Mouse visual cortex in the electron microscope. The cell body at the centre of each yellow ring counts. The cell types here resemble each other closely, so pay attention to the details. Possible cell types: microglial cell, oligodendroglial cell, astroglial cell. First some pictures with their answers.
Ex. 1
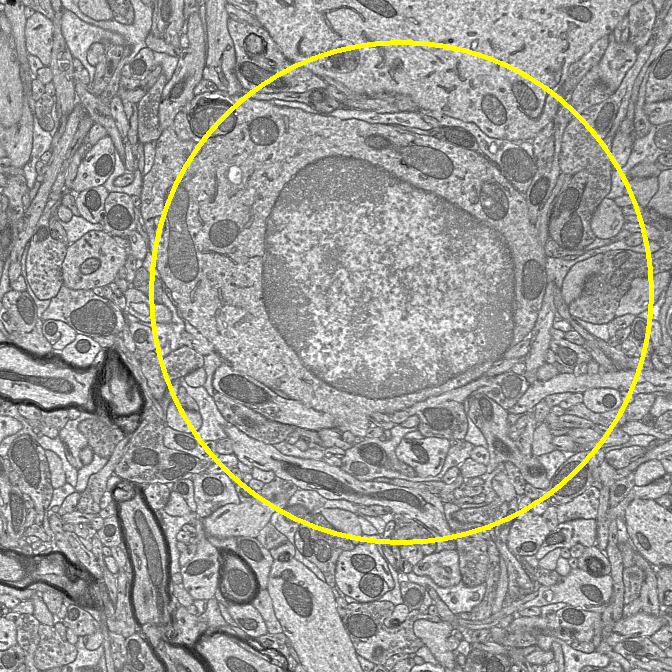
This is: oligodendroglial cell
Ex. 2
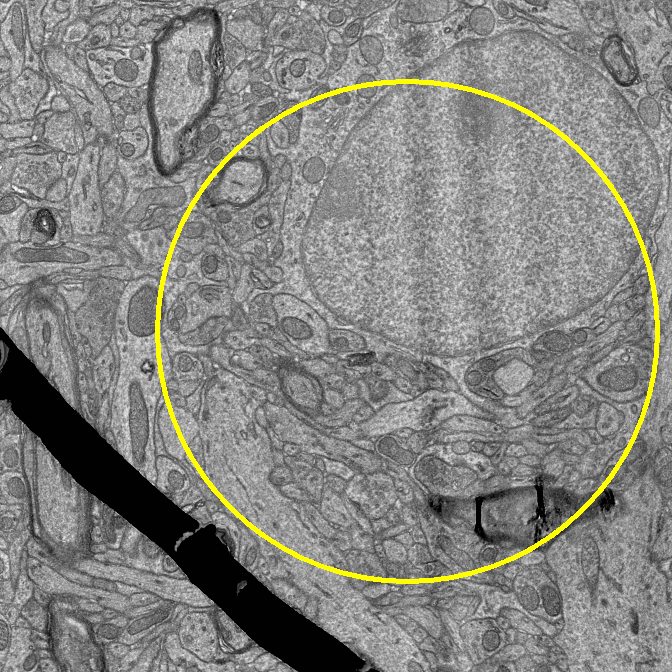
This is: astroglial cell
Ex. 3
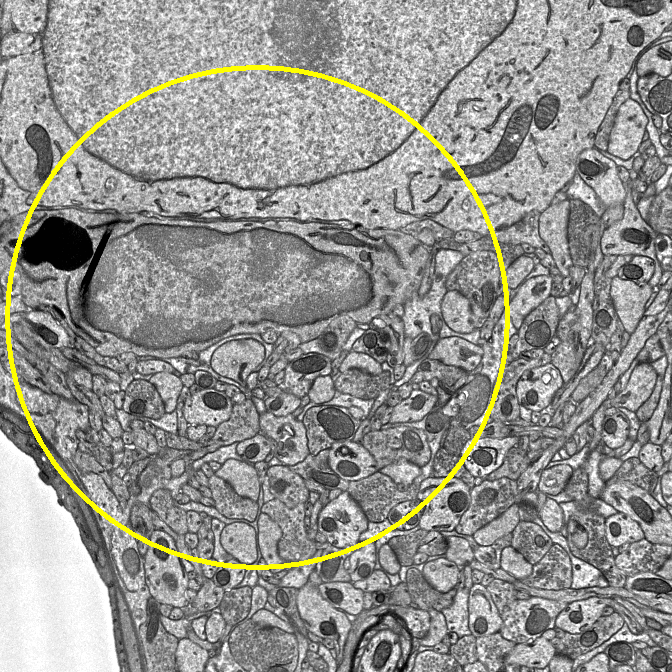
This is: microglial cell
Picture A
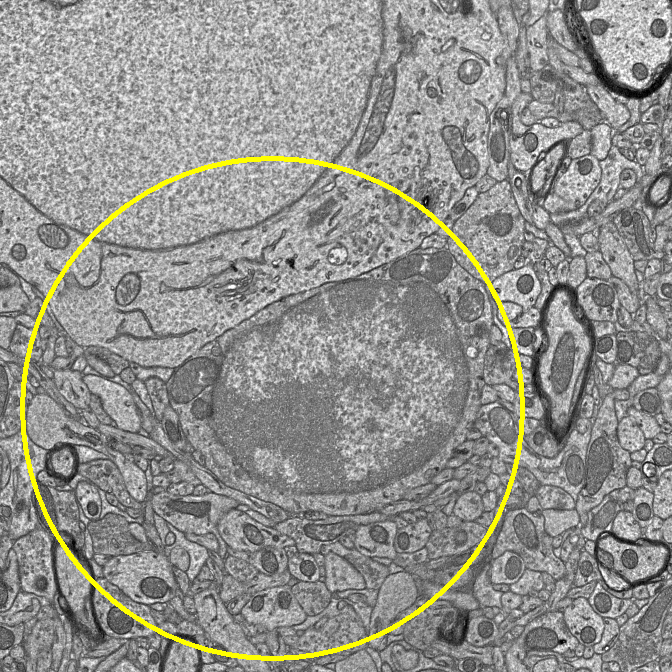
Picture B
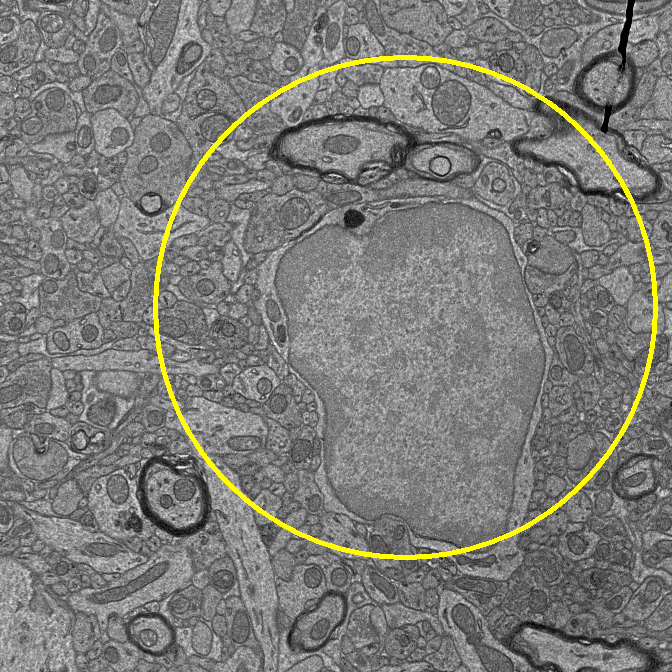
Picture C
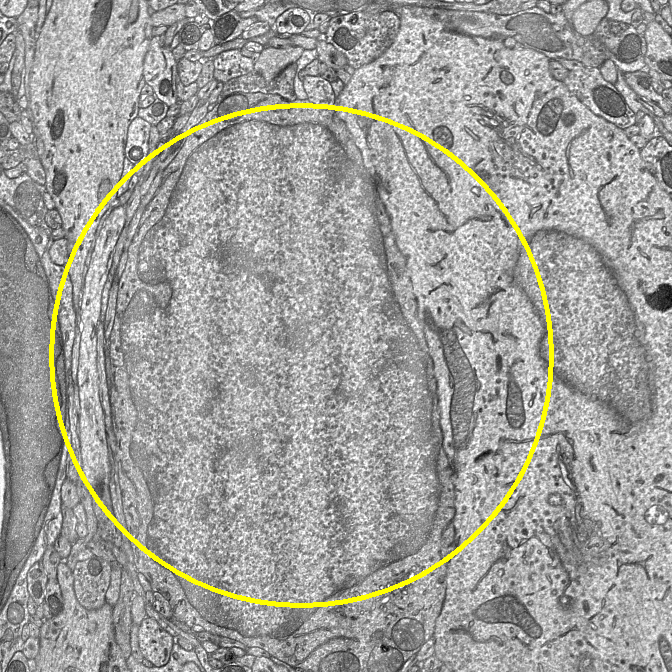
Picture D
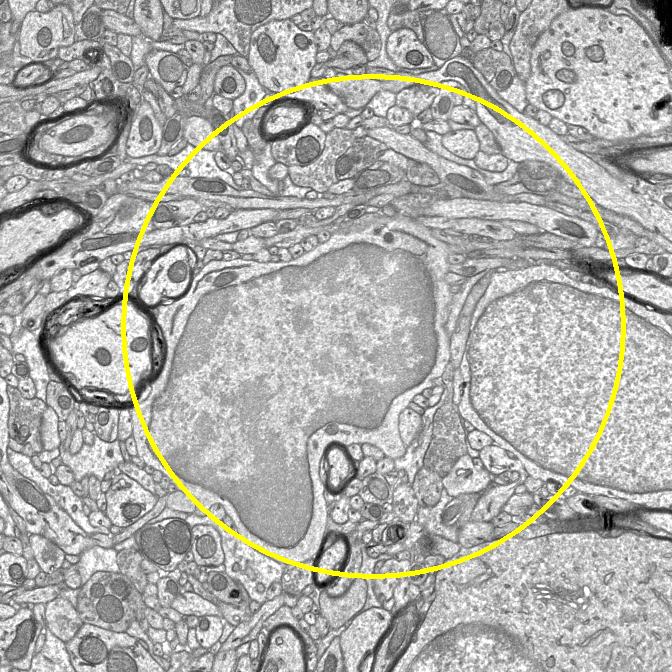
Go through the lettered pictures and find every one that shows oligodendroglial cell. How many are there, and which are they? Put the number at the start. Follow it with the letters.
2, namely A, C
